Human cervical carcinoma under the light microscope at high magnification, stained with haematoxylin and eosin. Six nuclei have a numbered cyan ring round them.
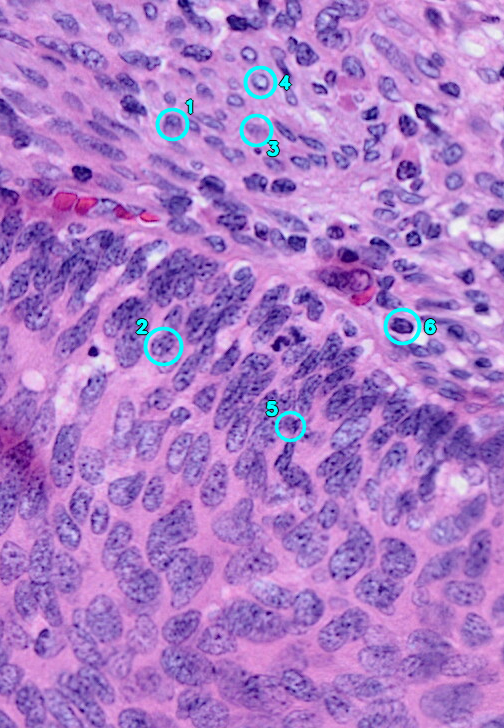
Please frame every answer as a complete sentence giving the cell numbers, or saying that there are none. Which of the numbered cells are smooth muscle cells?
The numbers 1, 3 and 4 refer to cells that are smooth muscle cells.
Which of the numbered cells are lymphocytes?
Cell 6 is a lymphocyte, and it is the only numbered cell that is.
